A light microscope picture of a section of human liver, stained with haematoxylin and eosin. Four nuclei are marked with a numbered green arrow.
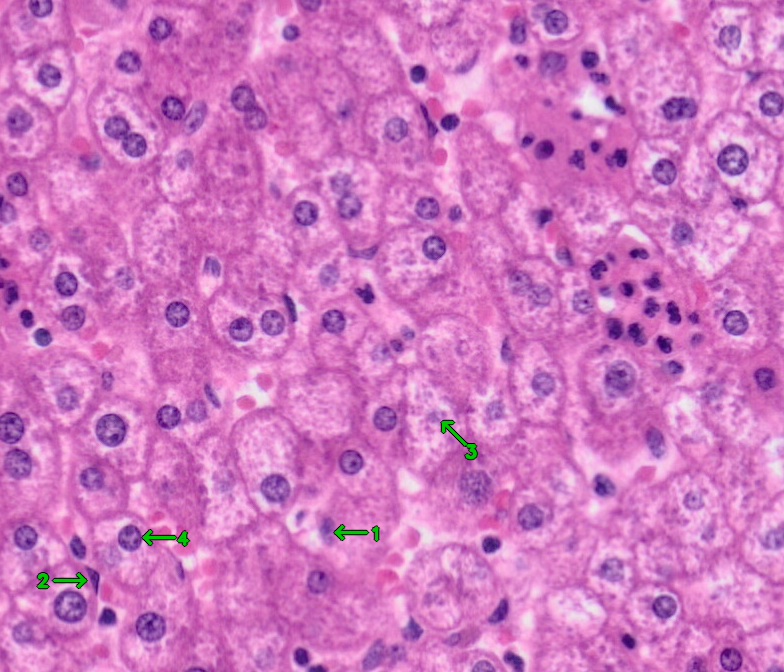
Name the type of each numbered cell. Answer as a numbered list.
1. Kupffer cell
2. endothelial cell
3. hepatocyte
4. hepatocyte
